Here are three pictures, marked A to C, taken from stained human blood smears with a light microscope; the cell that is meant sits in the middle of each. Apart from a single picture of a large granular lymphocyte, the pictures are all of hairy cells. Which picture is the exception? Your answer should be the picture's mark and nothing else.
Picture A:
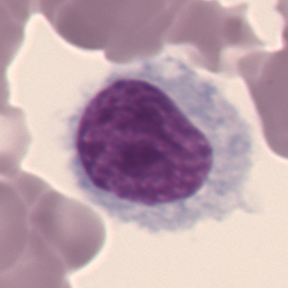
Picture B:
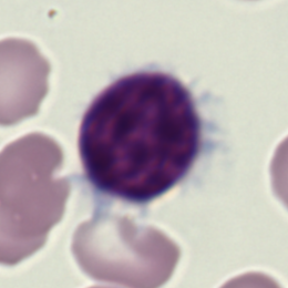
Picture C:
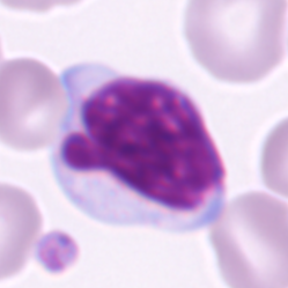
C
